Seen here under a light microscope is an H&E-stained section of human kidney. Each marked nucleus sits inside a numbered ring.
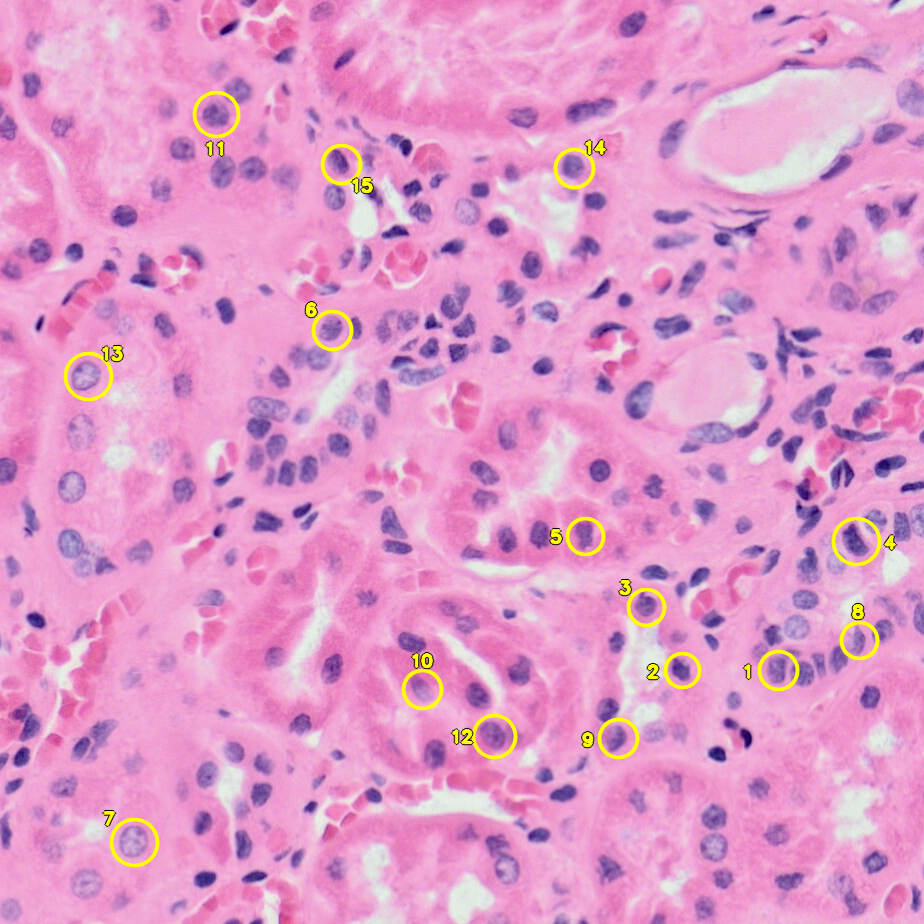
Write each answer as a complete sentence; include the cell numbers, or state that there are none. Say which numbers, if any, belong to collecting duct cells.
Cells 1, 4, 6 and 8 in the section are typed as collecting duct cells.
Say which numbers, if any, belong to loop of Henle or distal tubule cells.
The cells which carry the numbers 2, 3, 9, 14 and 15 are loop of Henle or distal tubule cells.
